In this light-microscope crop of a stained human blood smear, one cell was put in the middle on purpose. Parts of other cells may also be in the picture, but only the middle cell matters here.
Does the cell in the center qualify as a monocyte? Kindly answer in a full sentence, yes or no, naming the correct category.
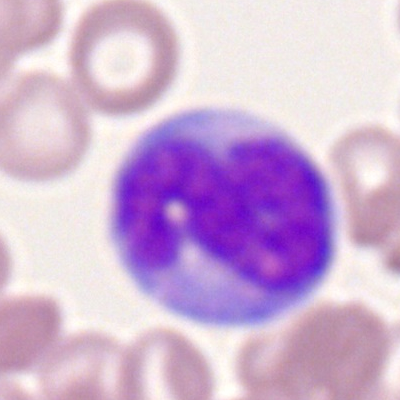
Yes, the crop's central cell is a monocyte.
